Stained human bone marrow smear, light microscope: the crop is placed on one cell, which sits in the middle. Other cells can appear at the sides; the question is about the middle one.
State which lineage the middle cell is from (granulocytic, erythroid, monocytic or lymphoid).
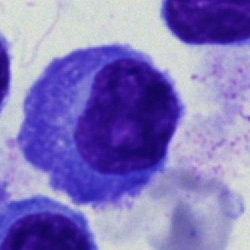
lymphoid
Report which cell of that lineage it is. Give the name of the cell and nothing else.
plasma cell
